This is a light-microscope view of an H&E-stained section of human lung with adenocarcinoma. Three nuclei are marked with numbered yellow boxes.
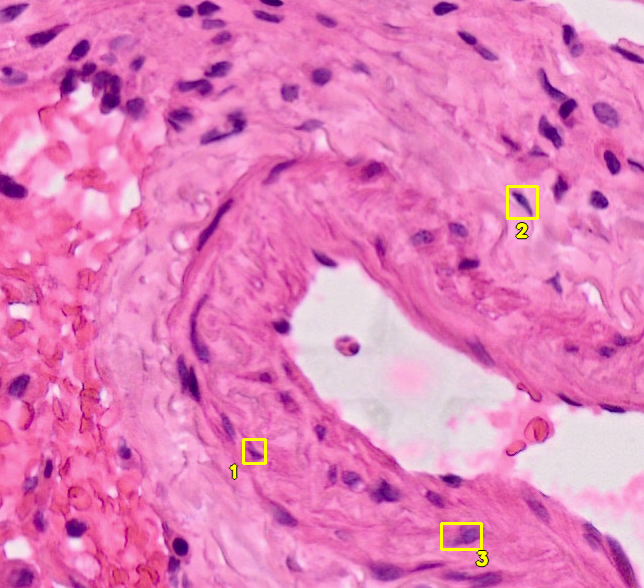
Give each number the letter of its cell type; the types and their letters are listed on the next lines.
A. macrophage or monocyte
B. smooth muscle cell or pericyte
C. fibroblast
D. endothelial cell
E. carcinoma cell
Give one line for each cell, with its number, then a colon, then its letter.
1: B
2: C
3: B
